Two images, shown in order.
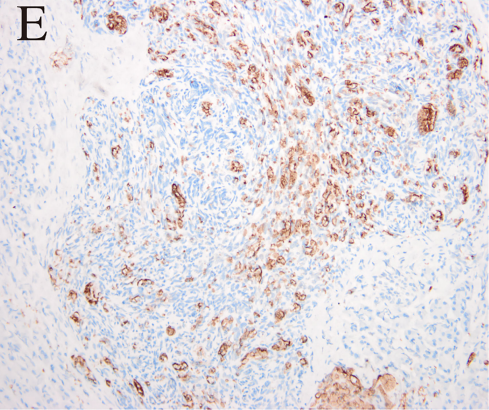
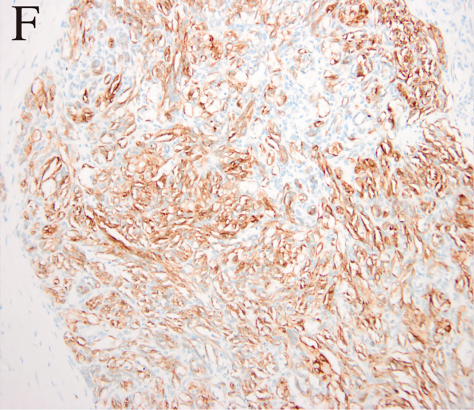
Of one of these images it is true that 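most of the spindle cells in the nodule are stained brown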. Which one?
The second image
